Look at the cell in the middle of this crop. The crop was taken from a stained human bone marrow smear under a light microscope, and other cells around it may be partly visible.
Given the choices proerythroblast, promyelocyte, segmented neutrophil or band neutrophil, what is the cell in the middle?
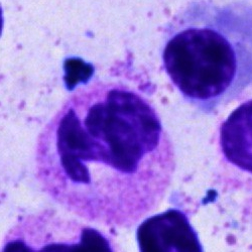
segmented neutrophil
